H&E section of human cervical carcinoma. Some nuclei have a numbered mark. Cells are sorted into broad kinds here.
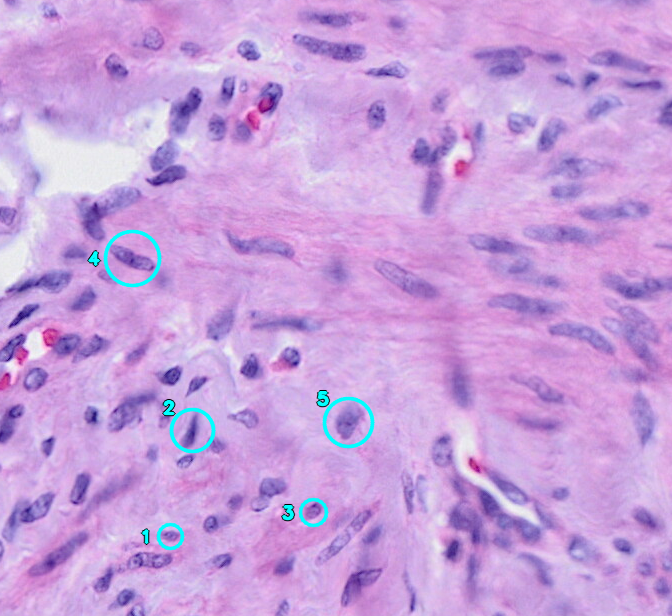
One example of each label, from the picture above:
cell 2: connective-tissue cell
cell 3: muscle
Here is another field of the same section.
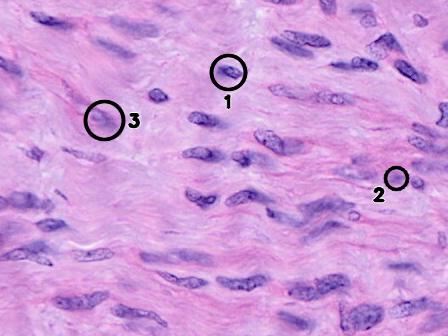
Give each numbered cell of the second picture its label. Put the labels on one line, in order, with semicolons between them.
connective-tissue cell; muscle; muscle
